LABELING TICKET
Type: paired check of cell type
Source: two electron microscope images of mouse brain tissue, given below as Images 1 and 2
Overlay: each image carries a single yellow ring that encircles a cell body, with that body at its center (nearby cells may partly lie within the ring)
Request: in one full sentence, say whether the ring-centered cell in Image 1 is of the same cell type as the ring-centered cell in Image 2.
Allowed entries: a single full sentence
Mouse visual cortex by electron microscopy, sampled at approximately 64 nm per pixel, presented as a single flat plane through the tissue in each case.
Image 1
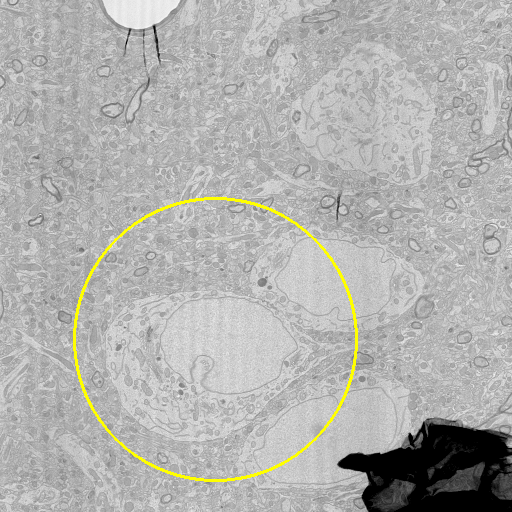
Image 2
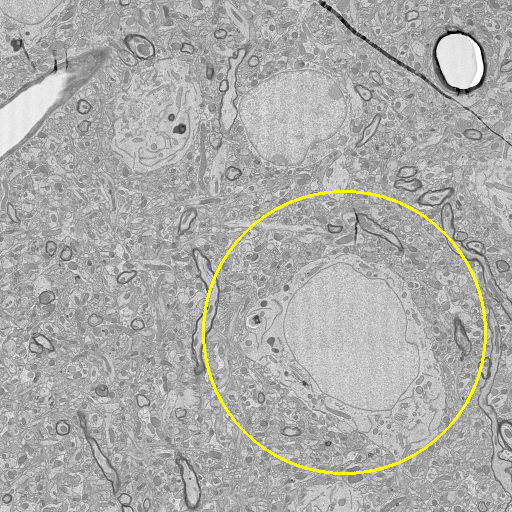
No, the cells centered in the rings of Image 1 and Image 2 are of two types.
